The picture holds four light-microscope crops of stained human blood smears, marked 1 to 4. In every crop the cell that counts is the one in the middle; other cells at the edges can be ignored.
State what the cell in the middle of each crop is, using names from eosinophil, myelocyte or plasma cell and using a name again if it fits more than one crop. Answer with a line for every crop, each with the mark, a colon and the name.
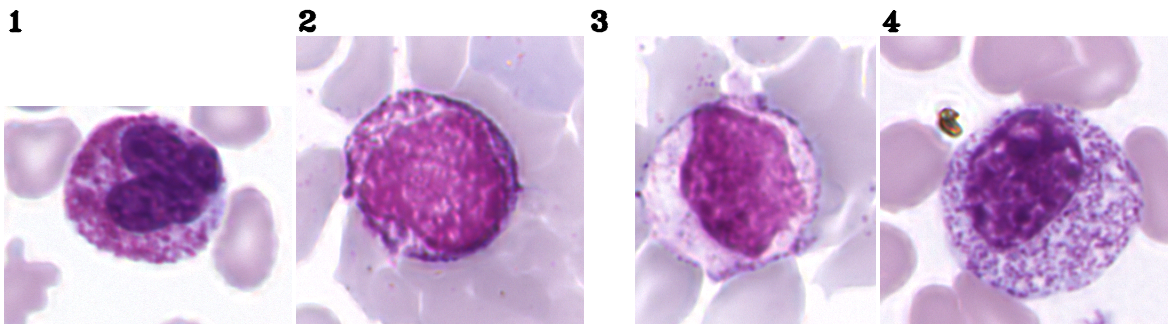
1: eosinophil
2: myelocyte
3: myelocyte
4: myelocyte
